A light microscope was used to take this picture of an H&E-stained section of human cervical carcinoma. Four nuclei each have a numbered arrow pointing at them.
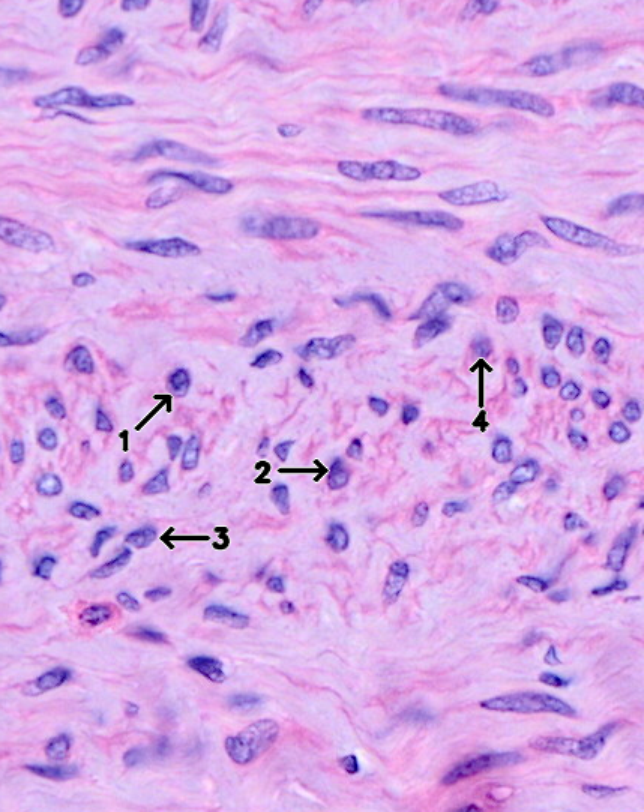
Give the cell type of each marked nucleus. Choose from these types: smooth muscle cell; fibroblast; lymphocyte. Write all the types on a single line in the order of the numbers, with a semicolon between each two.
smooth muscle cell; smooth muscle cell; fibroblast; smooth muscle cell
